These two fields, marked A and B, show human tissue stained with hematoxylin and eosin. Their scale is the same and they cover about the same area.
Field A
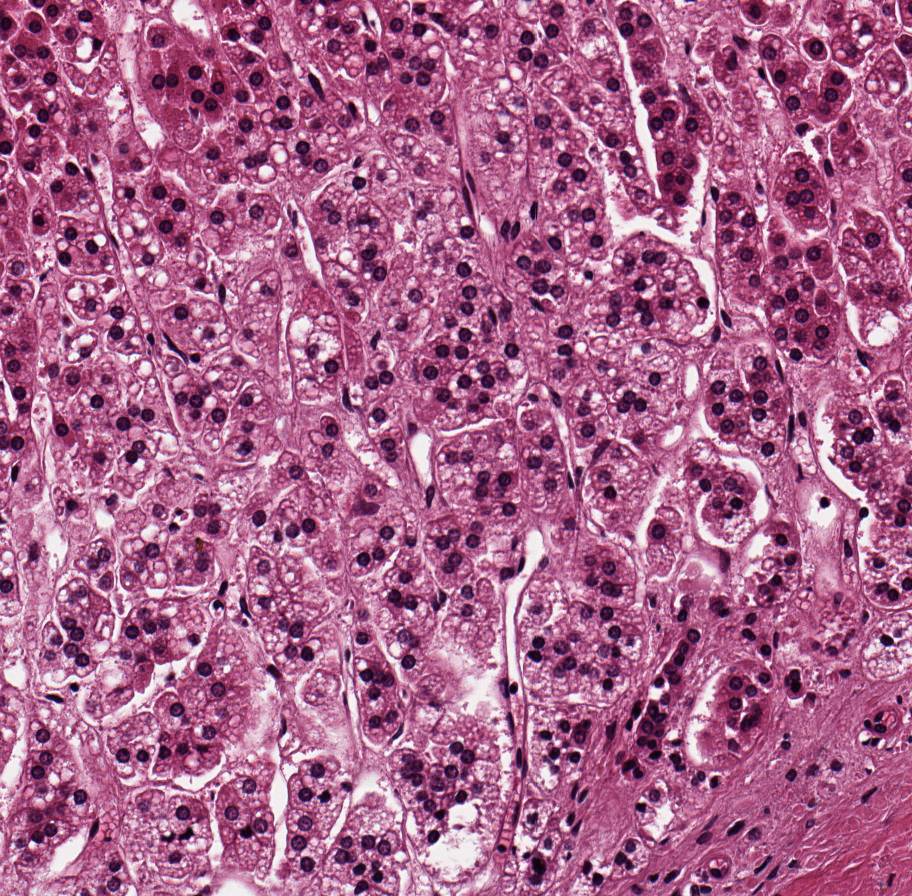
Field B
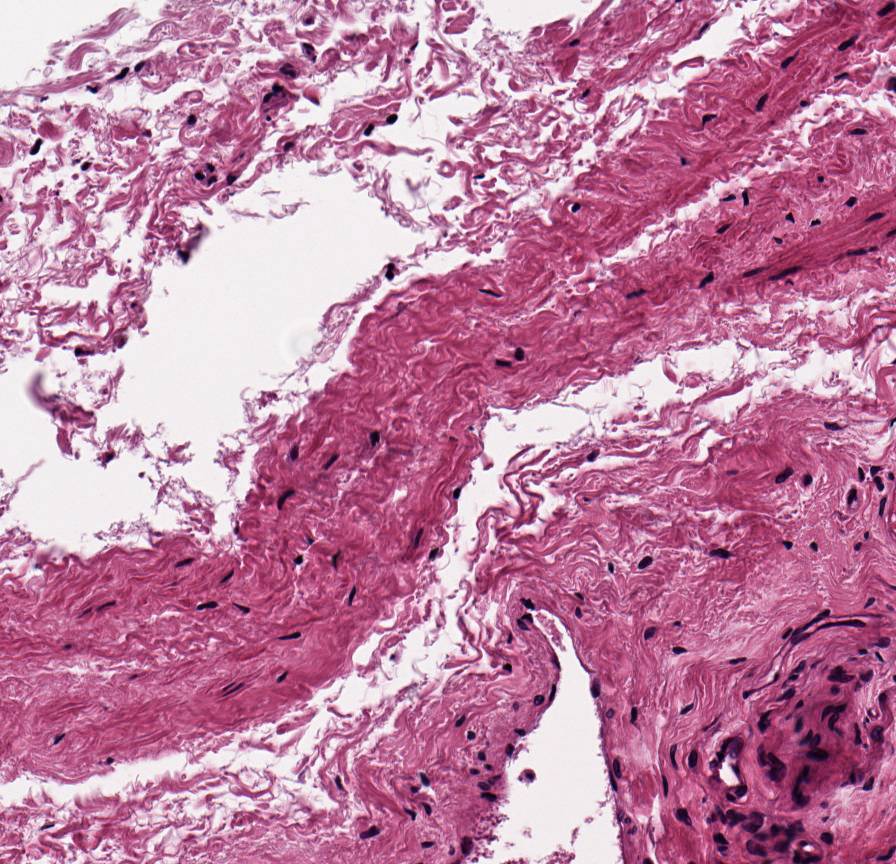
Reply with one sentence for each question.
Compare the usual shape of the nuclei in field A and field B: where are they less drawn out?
Rounder nuclei lie in field A.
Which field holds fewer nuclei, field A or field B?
It is field B that has fewer nuclei in it.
